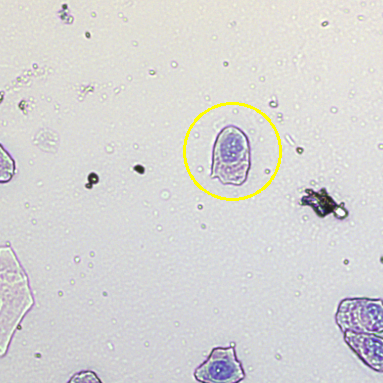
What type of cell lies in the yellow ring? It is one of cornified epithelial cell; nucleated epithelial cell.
The ringed cell is a nucleated epithelial cell.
